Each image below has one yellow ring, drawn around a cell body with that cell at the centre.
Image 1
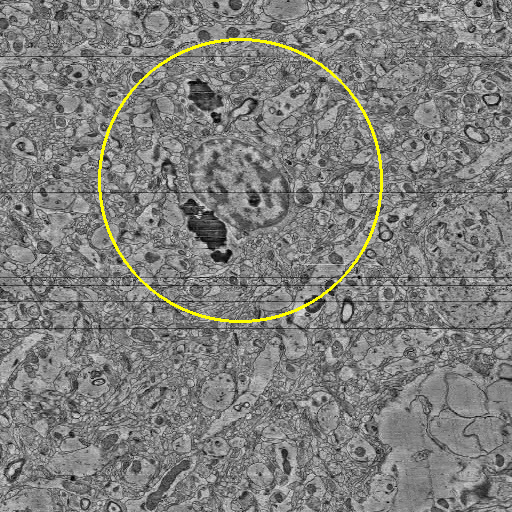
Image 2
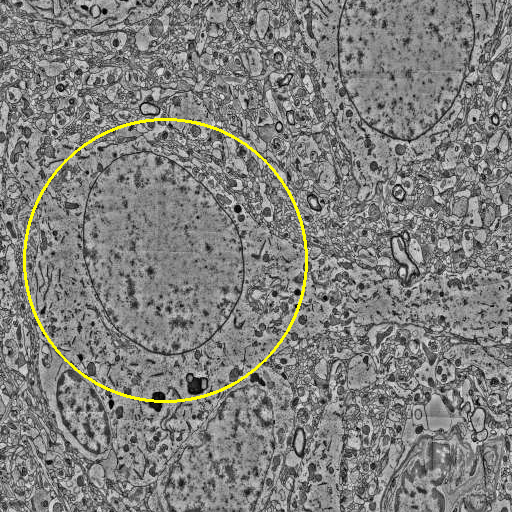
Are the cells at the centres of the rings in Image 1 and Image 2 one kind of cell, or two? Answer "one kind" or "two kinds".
two kinds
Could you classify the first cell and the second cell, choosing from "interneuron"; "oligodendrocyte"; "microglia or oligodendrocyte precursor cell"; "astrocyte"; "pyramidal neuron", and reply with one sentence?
The second cell is a pyramidal neuron, while the first is an oligodendrocyte.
